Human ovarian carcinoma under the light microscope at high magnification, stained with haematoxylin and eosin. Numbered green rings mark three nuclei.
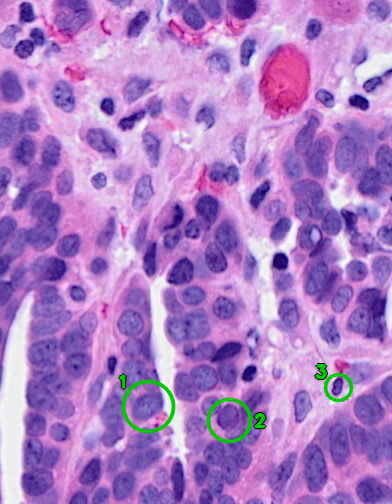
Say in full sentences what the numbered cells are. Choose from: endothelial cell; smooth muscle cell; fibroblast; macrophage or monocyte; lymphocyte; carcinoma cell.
Cell 1 is a carcinoma cell, cell 2 is a carcinoma cell and cell 3 is a lymphocyte.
